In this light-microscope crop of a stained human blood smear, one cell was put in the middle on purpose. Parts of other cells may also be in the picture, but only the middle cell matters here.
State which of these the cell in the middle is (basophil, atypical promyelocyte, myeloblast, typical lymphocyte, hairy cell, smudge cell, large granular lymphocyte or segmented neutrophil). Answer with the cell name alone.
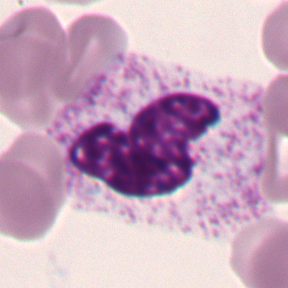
segmented neutrophil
